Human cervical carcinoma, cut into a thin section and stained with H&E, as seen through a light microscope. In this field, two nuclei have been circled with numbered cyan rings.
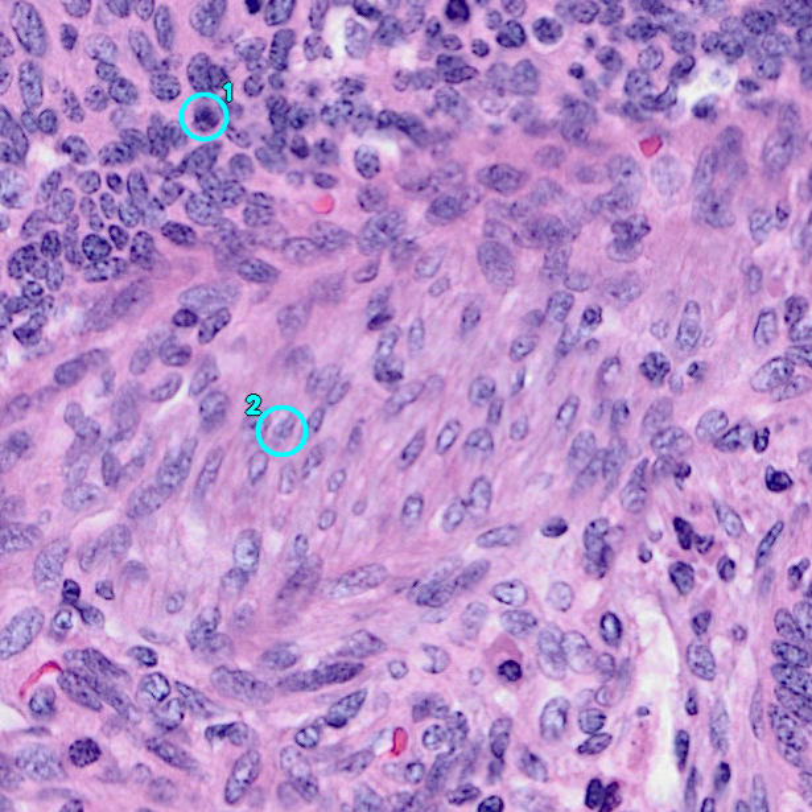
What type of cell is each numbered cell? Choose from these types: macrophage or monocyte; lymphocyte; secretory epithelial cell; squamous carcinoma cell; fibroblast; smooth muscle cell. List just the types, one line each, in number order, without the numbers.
squamous carcinoma cell
smooth muscle cell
